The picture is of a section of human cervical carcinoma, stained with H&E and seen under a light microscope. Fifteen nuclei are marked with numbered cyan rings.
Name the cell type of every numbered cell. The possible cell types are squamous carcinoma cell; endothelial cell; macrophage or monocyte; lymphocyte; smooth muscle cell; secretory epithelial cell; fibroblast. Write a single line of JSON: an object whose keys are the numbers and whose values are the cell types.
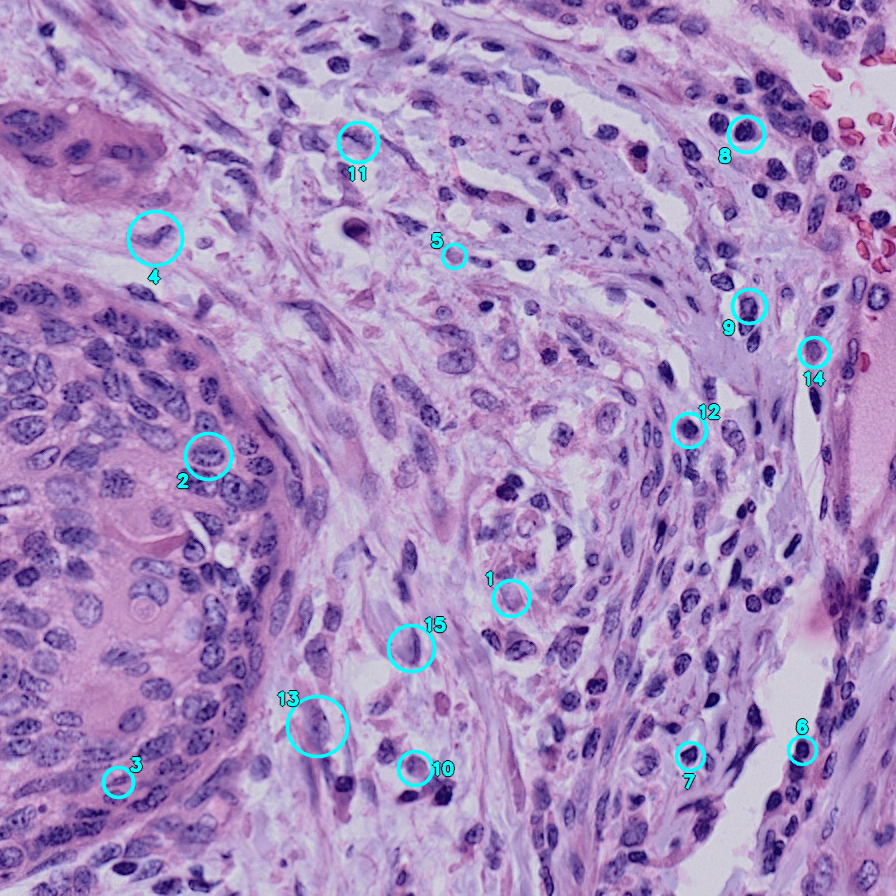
{"1": "fibroblast", "2": "squamous carcinoma cell", "3": "squamous carcinoma cell", "4": "fibroblast", "5": "fibroblast", "6": "lymphocyte", "7": "lymphocyte", "8": "lymphocyte", "9": "lymphocyte", "10": "macrophage or monocyte", "11": "fibroblast", "12": "lymphocyte", "13": "fibroblast", "14": "macrophage or monocyte", "15": "fibroblast"}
